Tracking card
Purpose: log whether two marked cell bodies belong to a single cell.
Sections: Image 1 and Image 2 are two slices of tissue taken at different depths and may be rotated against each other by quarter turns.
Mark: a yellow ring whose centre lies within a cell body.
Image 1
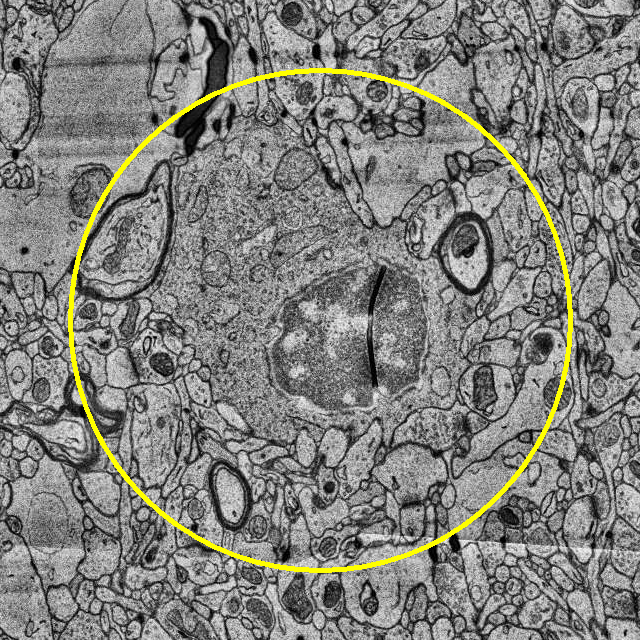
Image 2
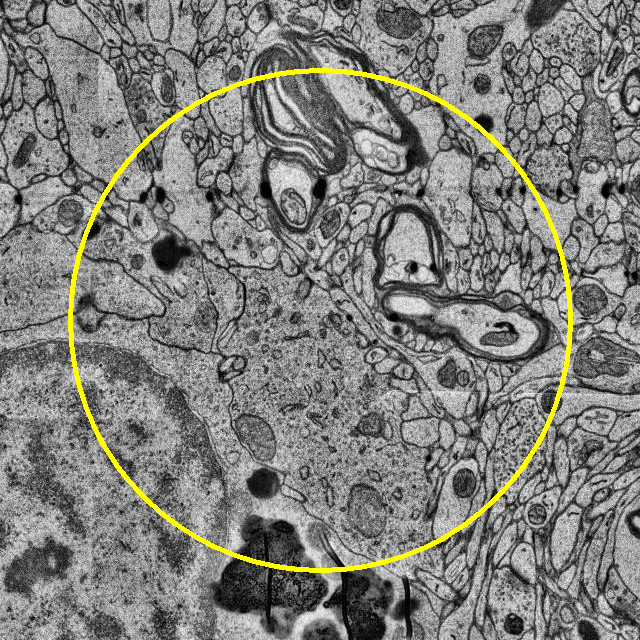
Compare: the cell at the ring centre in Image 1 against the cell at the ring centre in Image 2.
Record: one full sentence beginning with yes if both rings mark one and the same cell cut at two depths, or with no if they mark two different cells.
No, these are two different cells, each marked with a ring.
